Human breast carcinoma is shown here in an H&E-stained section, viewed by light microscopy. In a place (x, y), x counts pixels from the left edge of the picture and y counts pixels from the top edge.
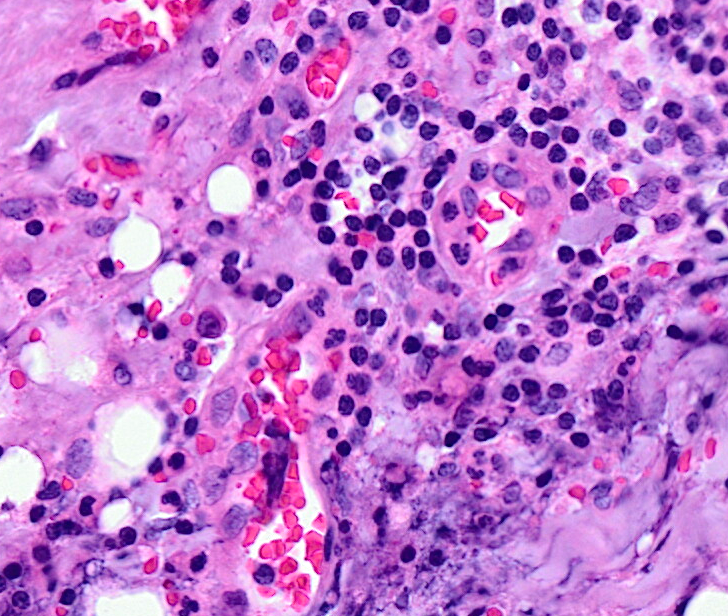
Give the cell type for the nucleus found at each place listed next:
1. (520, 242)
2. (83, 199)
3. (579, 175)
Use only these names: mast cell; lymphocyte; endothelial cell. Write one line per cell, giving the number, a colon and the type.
1: endothelial cell
2: mast cell
3: lymphocyte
